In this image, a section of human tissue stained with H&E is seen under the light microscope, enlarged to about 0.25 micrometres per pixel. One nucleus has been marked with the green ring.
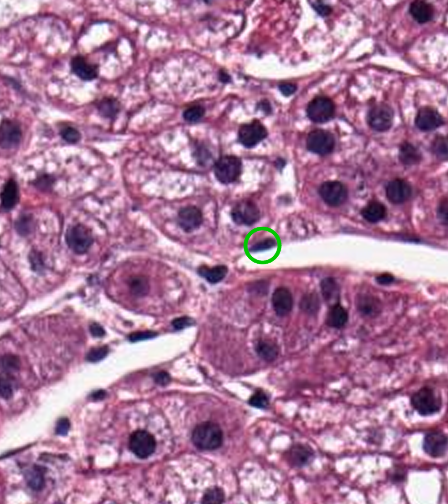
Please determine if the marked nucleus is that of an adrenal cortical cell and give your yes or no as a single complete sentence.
No, instead of being part of an adrenal cortical cell, the marked nucleus is part of a supporting cell.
